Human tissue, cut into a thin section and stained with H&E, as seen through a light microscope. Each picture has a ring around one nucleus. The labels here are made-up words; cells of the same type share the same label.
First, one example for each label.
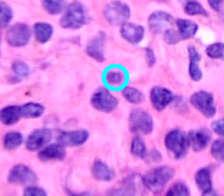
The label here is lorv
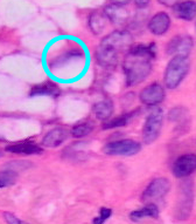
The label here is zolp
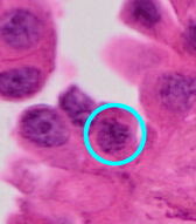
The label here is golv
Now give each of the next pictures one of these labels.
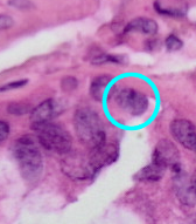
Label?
zolp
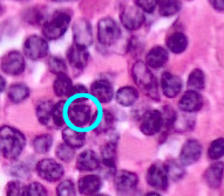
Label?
lorv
